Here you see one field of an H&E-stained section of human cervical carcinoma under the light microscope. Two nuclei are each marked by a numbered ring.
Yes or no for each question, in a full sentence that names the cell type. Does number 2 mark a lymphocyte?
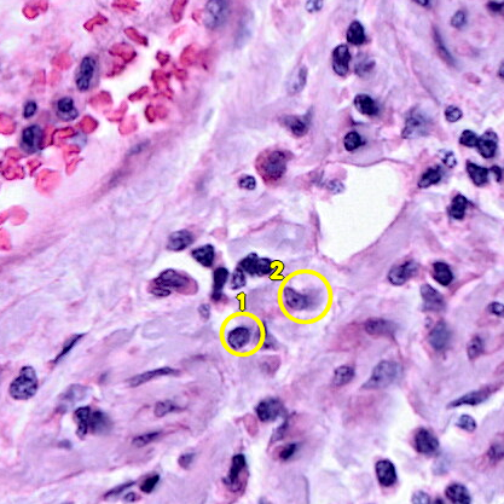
No, the marked cell 2 is not a lymphocyte, being instead a macrophage or monocyte.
